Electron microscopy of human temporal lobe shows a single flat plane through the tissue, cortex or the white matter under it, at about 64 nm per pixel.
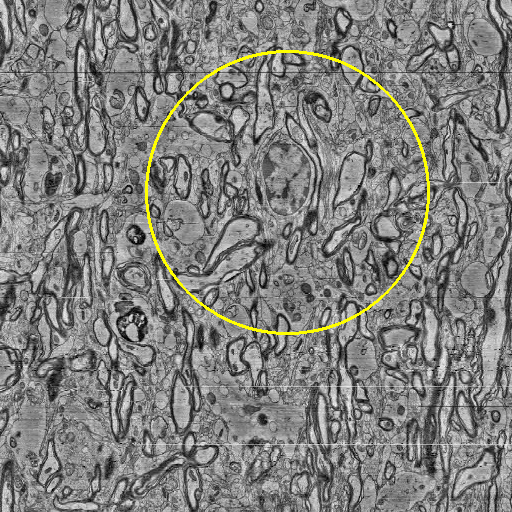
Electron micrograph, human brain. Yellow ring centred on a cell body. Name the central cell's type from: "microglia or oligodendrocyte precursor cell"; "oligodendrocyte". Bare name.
microglia or oligodendrocyte precursor cell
